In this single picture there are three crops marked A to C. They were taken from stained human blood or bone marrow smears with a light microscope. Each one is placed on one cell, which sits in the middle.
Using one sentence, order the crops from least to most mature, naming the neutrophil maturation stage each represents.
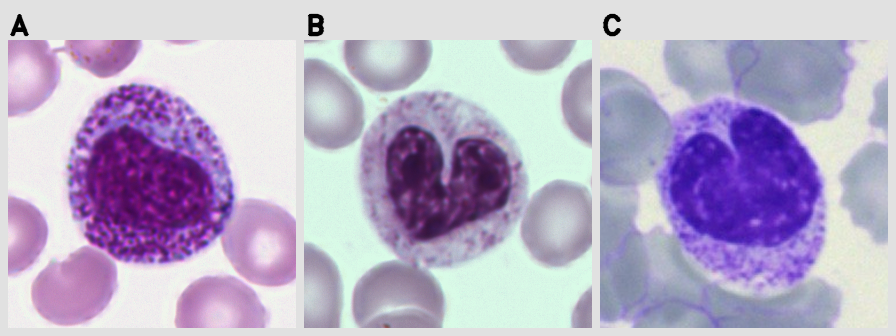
Arranged by increasing maturity, the crops are crop A (a myelocyte), crop C (a metamyelocyte) and crop B (a band neutrophil).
